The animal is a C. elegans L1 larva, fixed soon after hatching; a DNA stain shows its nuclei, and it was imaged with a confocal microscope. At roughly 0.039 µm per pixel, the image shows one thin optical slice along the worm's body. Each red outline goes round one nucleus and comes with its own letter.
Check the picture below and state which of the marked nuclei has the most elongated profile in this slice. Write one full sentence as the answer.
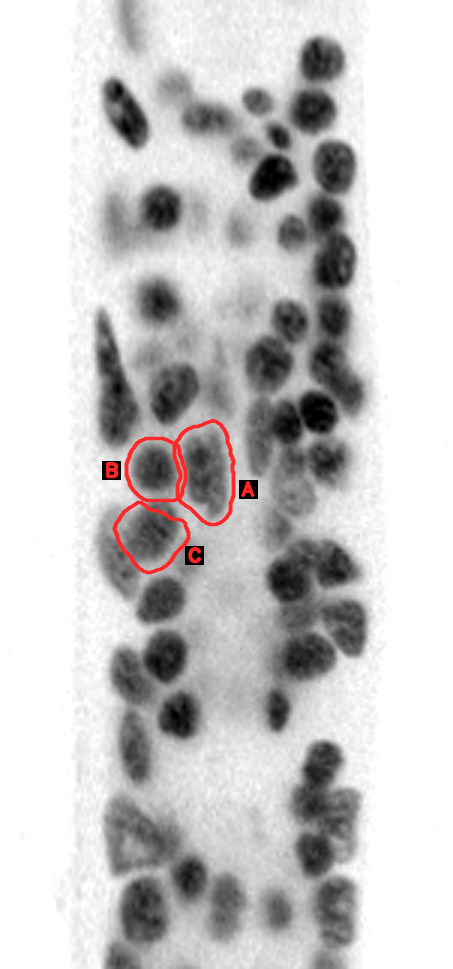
A is the most elongated.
